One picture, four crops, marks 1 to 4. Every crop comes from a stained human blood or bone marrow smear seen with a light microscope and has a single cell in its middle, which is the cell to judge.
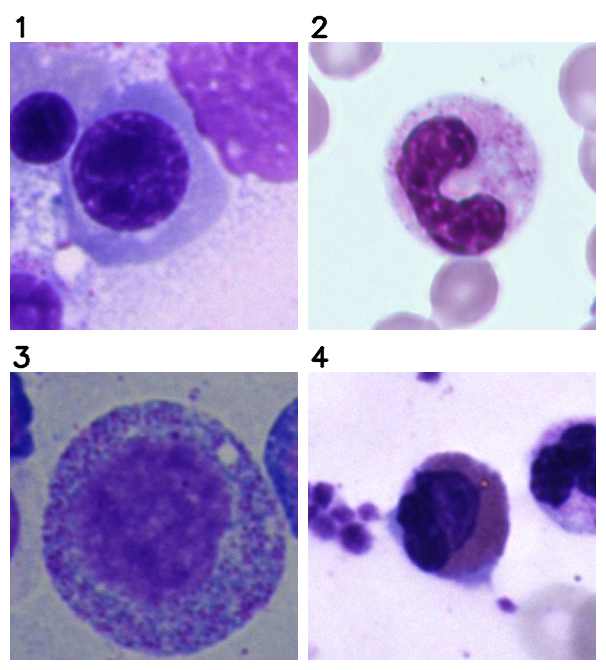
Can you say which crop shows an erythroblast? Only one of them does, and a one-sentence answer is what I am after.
The sole crop showing an erythroblast is crop 1.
